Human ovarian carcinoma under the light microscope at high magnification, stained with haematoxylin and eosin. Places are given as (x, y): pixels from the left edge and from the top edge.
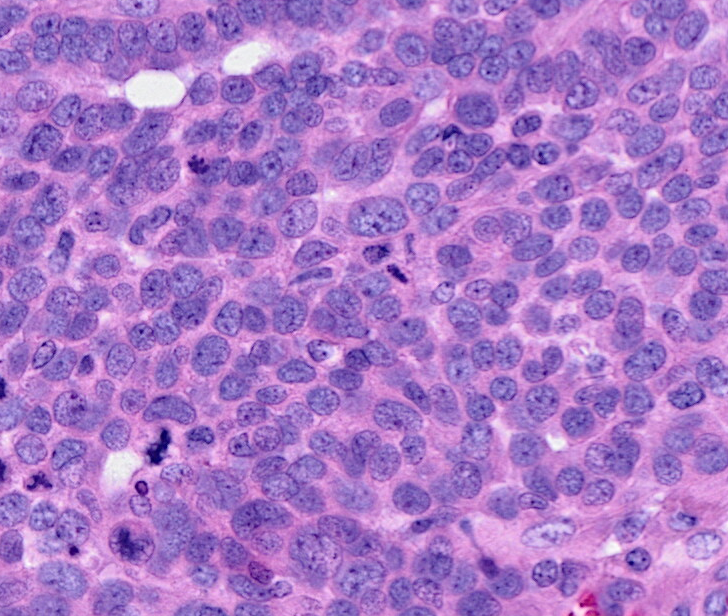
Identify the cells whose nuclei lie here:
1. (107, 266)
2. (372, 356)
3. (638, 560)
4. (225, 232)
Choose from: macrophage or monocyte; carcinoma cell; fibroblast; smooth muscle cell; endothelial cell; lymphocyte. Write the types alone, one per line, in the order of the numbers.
carcinoma cell
carcinoma cell
macrophage or monocyte
carcinoma cell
